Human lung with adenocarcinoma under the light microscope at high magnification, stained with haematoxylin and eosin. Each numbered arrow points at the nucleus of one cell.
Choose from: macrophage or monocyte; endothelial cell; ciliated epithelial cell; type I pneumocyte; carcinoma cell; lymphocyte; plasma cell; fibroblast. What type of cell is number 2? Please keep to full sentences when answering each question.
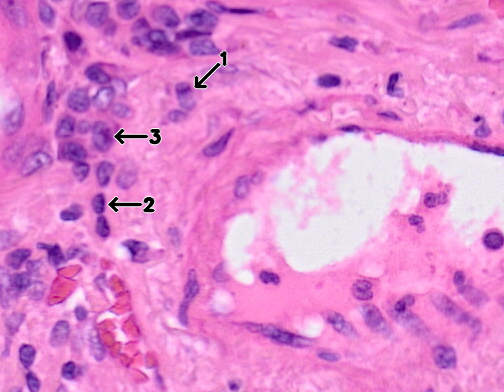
The correct answer for cell 2 is a lymphocyte.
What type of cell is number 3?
Cell 3, among those numbered, is a plasma cell.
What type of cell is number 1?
Number 1 among the marked cells is a plasma cell.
